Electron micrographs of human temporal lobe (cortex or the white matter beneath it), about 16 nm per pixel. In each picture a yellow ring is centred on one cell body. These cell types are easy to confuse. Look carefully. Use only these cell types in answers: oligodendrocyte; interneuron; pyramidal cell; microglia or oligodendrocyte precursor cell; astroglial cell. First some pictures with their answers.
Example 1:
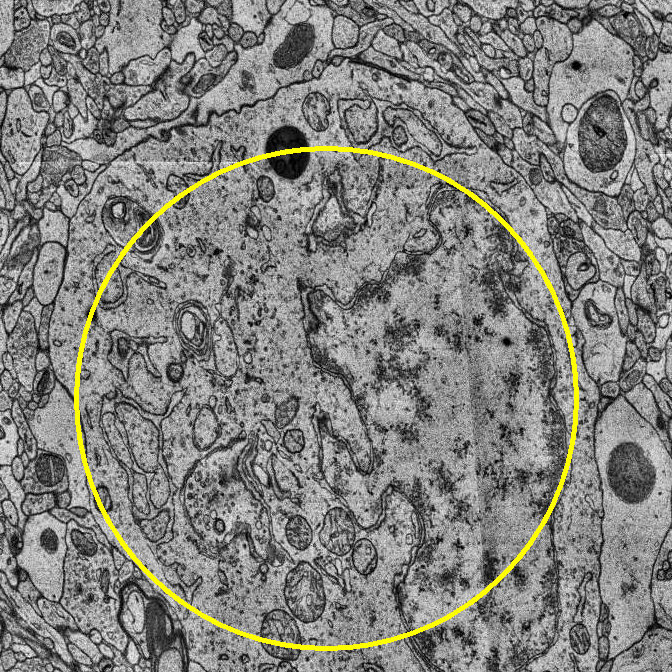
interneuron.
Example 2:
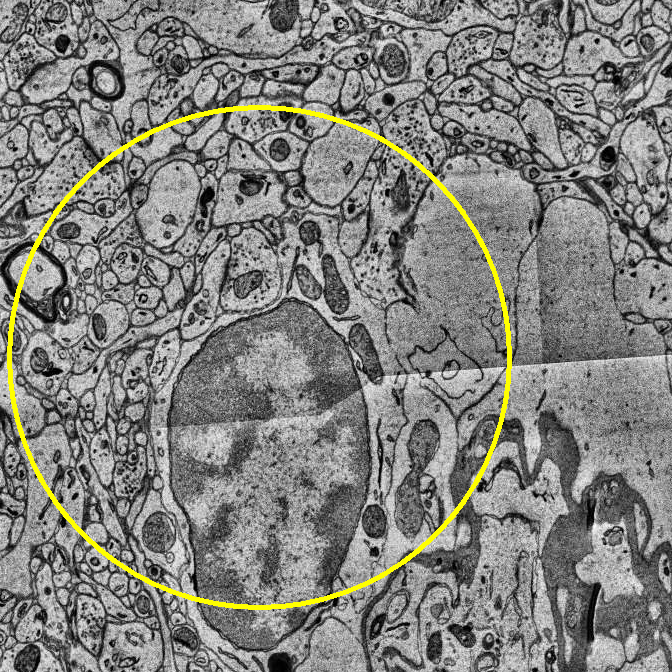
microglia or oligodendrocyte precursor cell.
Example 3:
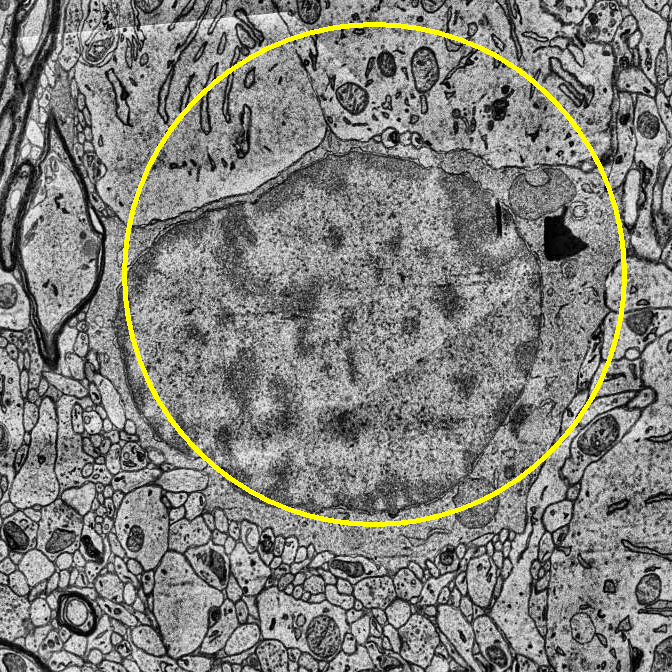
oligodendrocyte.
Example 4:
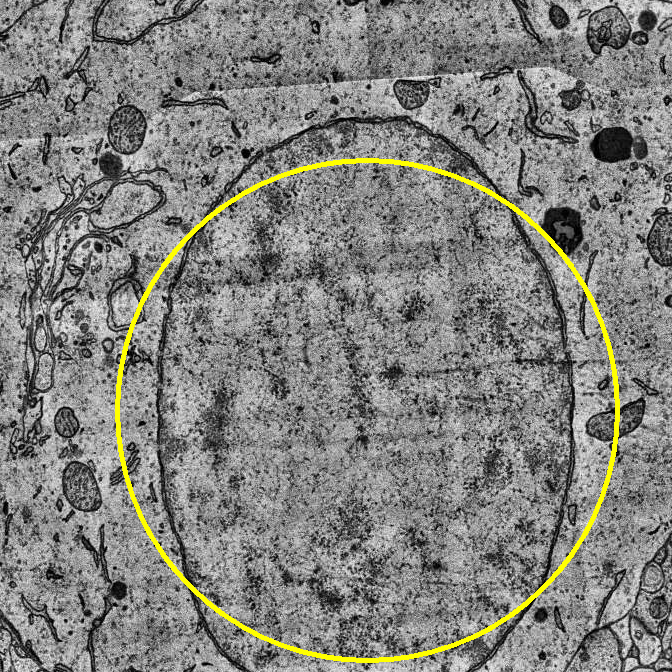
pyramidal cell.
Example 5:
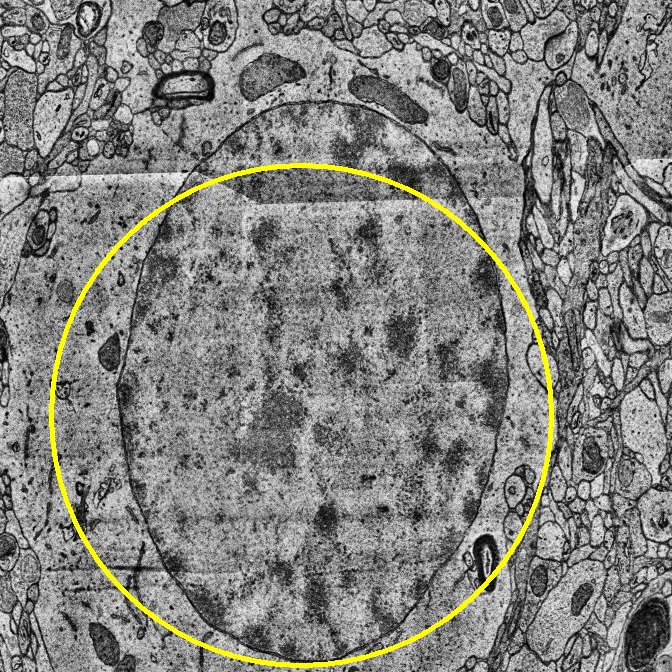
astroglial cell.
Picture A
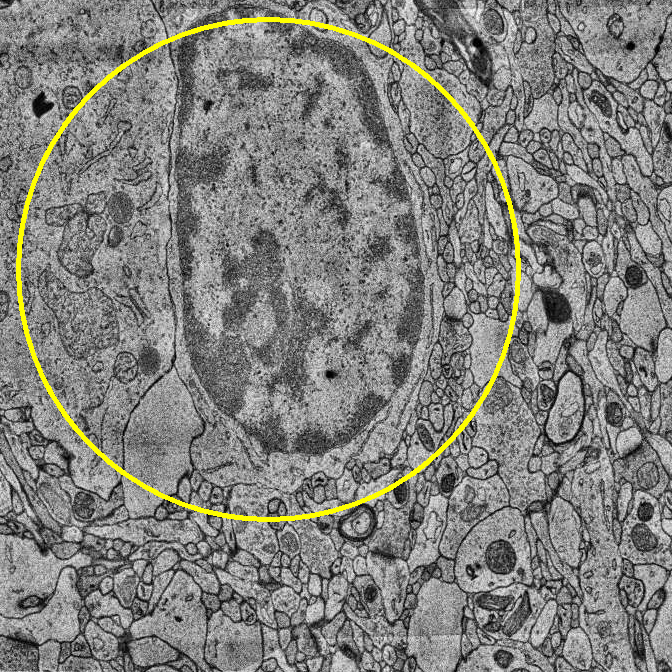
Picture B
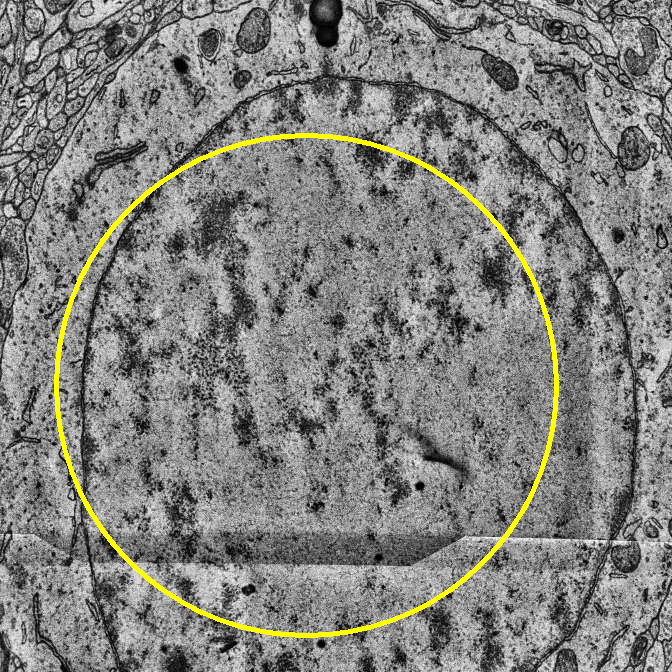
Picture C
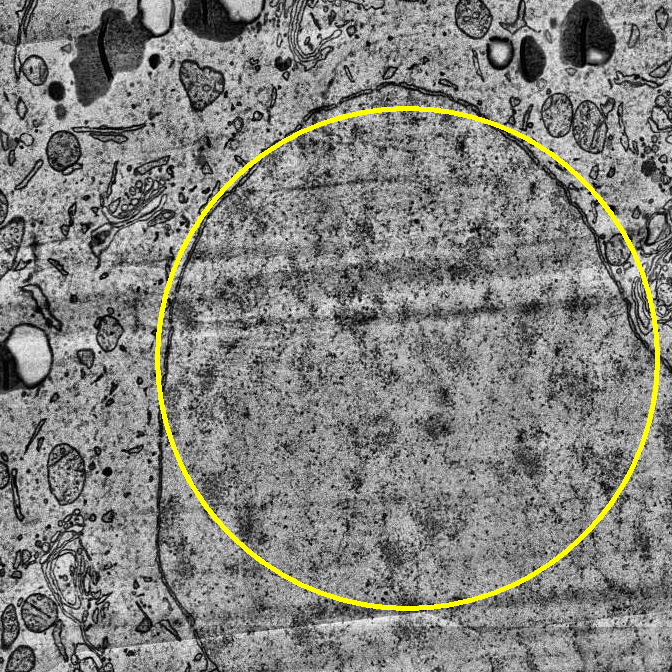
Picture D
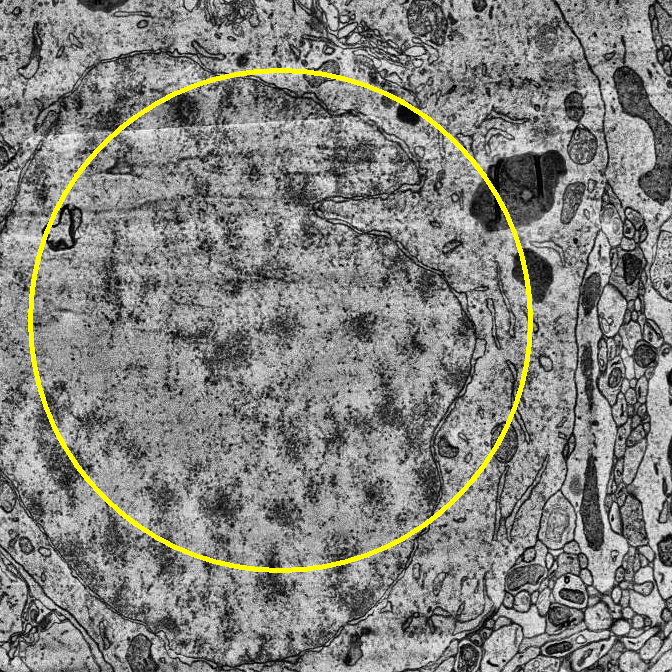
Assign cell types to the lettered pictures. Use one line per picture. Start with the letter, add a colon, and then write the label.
A: microglia or oligodendrocyte precursor cell.
B: pyramidal cell.
C: pyramidal cell.
D: interneuron.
